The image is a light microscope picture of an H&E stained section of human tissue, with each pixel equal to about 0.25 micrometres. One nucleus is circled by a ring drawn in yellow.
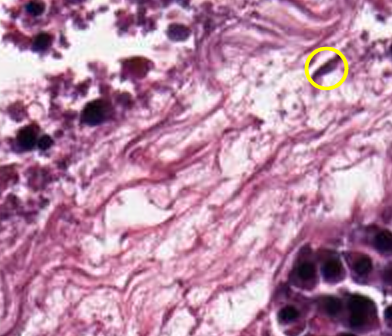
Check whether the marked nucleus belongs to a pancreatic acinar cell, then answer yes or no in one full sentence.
No, the cell to which the marked nucleus belongs is a supporting cell rather than a pancreatic acinar cell.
